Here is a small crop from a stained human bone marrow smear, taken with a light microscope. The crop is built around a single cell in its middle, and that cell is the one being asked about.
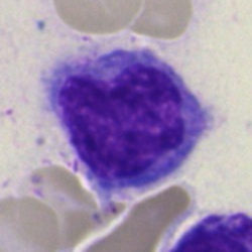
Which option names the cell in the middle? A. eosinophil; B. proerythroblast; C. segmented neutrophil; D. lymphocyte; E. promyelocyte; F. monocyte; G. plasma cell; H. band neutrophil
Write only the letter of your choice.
F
